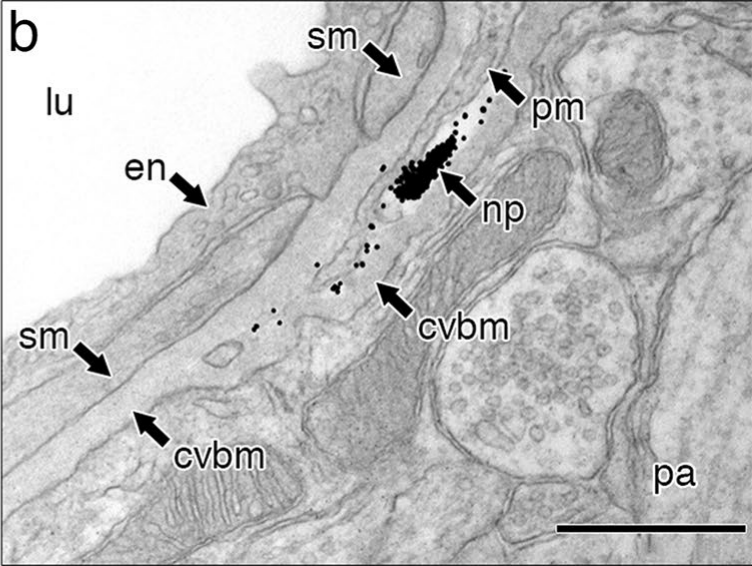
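At higher power the artery wall is seen in layers running from the pale lumen at the upper left outward: a thin endothelial lining, elongated smooth muscle cells, a thin sheet of pia mater and then the glia limitans of the brain. Thin grey basement membranes separate these layers. A dense cluster and scattered single black particles lie in the basement membrane between the pia mater and the glial layer. Beyond it, brain tissue shows nerve terminals packed with small round vesicles and profiles with mitochondria.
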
